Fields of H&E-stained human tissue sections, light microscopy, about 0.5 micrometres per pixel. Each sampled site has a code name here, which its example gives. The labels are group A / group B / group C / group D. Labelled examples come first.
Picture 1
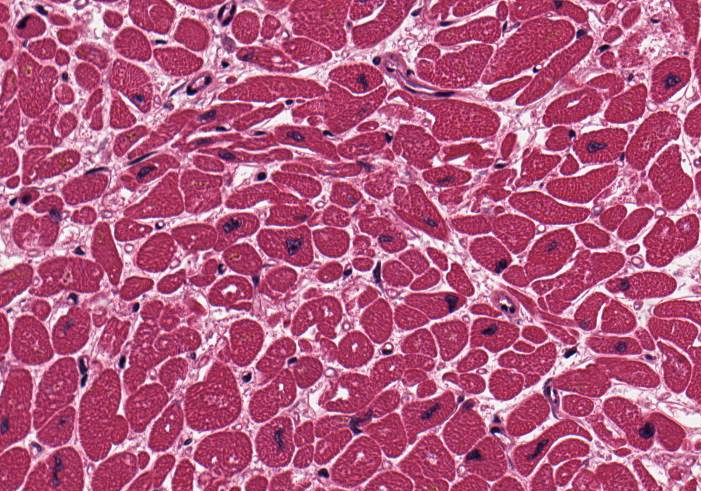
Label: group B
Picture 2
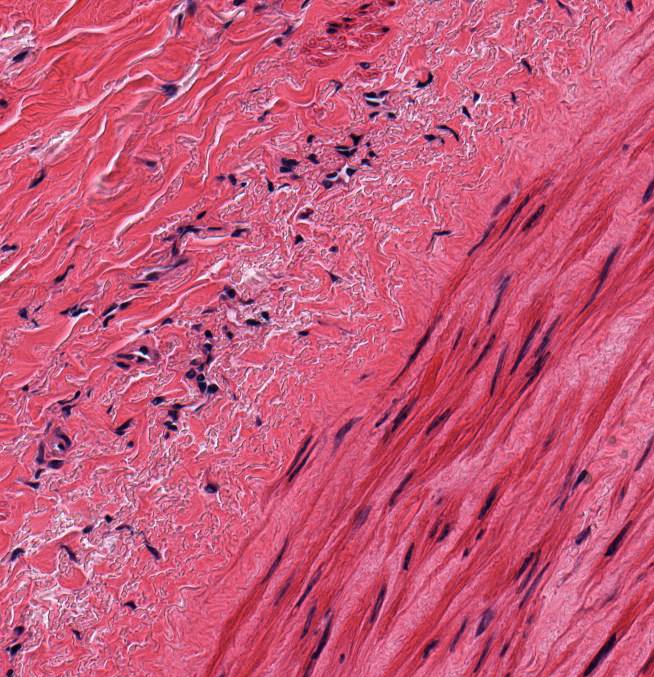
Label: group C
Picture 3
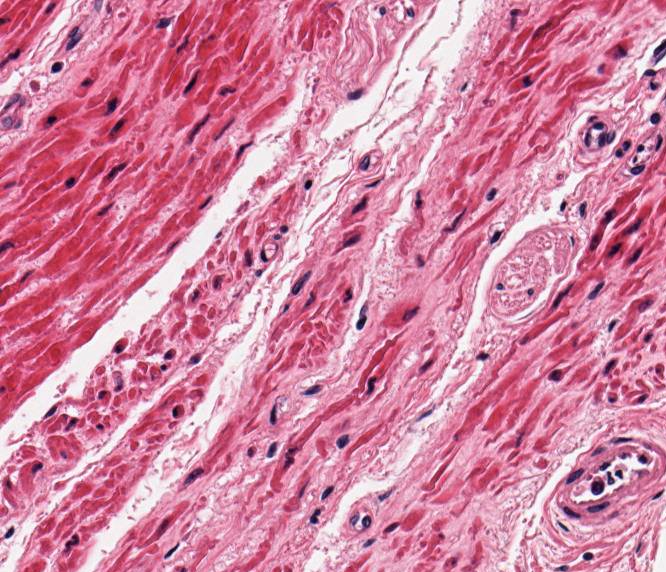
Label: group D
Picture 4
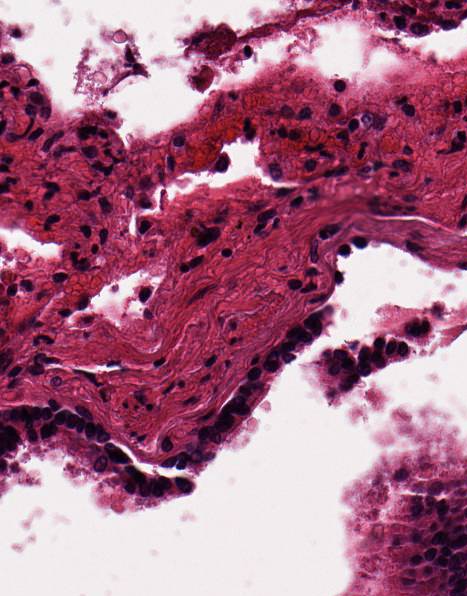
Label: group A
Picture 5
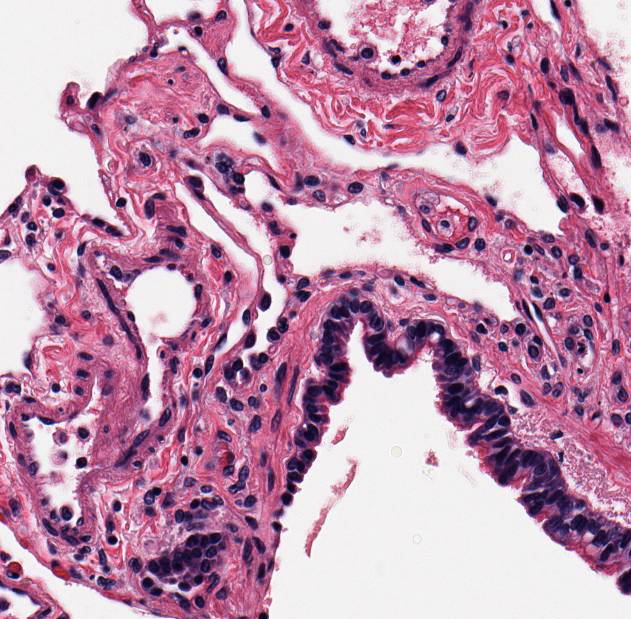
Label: group A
